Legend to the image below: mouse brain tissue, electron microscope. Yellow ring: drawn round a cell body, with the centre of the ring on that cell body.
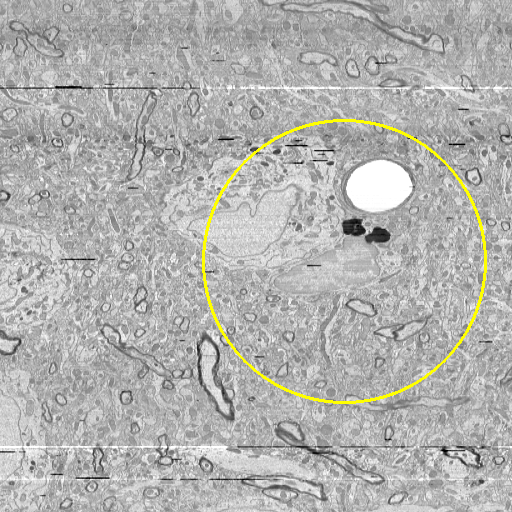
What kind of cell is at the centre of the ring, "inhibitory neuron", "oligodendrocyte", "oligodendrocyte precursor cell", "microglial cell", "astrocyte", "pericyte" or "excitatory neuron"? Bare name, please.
microglial cell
